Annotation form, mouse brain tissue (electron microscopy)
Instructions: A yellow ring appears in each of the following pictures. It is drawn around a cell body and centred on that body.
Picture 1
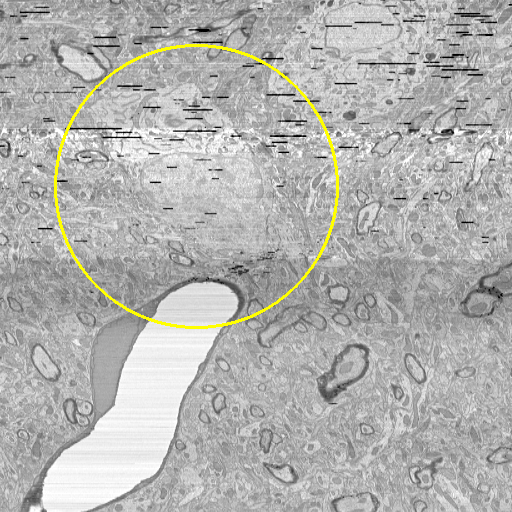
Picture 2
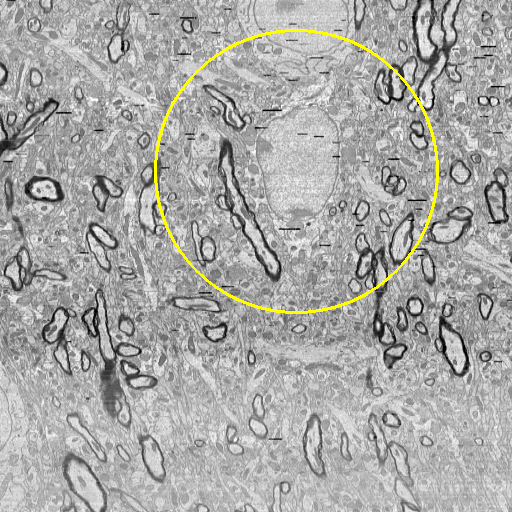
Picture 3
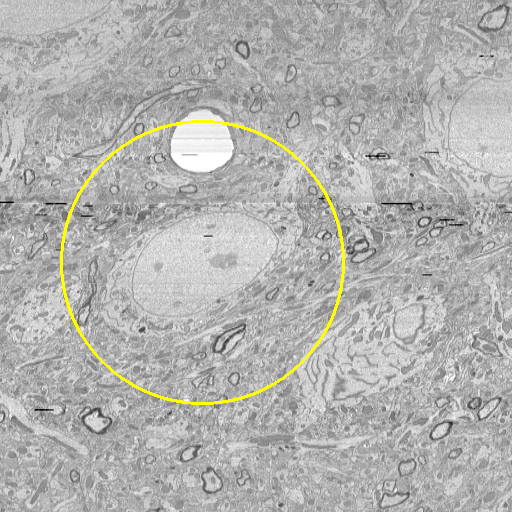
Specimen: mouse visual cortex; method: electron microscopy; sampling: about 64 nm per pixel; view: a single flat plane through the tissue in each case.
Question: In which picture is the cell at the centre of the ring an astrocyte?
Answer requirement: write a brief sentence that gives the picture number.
The cell at the centre of the ring in Picture 2 is the one asked for.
